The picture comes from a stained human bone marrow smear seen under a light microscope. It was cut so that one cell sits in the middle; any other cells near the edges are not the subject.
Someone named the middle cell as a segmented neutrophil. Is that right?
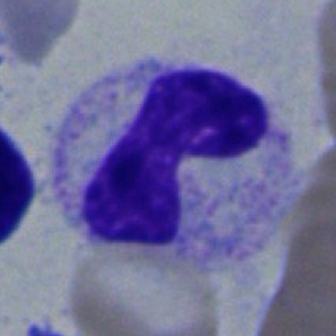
no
